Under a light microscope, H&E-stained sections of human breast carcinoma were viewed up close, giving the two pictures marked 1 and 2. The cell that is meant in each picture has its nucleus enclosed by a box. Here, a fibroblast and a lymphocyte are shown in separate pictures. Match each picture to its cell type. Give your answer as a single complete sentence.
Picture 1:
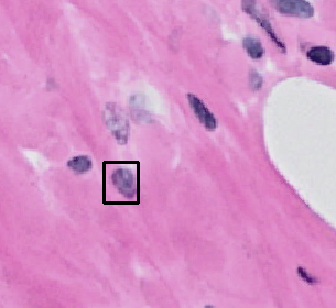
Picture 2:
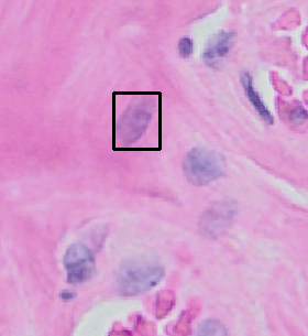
Picture 2 shows a fibroblast, while picture 1 shows a lymphocyte.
